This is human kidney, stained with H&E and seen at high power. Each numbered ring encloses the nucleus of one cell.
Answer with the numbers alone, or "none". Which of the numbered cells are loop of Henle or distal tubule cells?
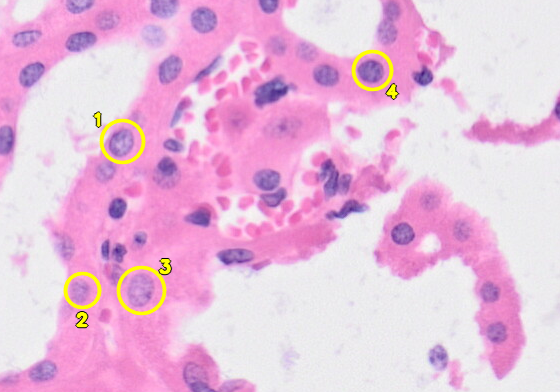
1, 2, 4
